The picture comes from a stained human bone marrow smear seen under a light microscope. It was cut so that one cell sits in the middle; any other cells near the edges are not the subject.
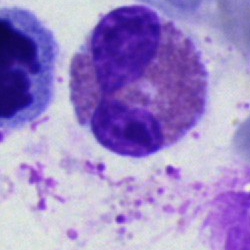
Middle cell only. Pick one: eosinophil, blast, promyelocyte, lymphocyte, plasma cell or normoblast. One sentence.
By classification, the middle cell of this crop is an eosinophil.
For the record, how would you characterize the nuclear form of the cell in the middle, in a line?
Kindly observe that the nucleus forms two or more lobes.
